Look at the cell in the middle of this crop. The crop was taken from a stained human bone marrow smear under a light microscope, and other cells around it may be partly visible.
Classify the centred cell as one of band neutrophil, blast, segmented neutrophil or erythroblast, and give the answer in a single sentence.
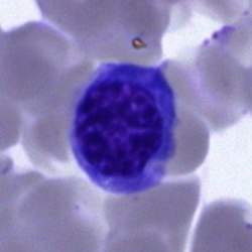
The cell shown in the center of this light-microscope crop is an erythroblast.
